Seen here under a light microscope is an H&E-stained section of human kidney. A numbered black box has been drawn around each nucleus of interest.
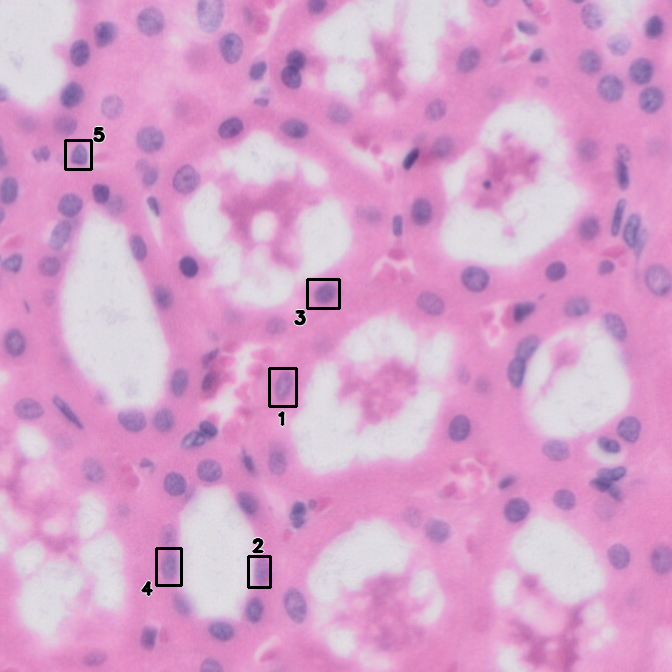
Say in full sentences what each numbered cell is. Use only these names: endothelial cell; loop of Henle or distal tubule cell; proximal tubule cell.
Cell 1 is a proximal tubule cell, cell 2 is a loop of Henle or distal tubule cell, cell 3 is a proximal tubule cell, cell 4 is a loop of Henle or distal tubule cell and cell 5 is an endothelial cell.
